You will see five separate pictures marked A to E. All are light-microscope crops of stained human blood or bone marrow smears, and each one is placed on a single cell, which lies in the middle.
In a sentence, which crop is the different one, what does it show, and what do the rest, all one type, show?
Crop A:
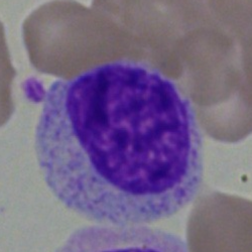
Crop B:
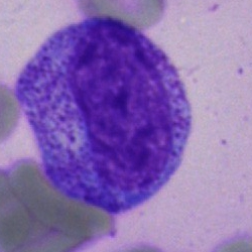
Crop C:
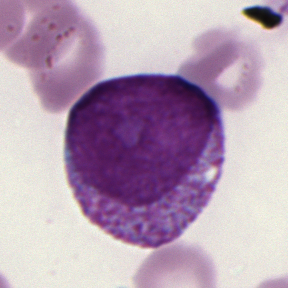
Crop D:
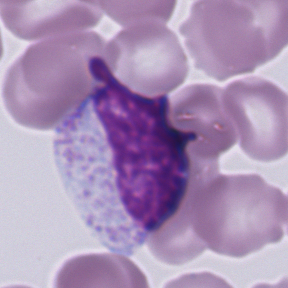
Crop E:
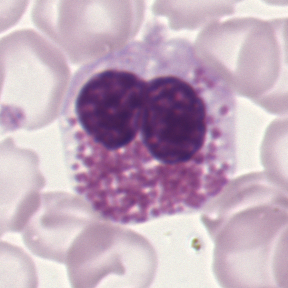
The remaining crops are all myelocytes, so crop E, being an eosinophil, is the exception.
